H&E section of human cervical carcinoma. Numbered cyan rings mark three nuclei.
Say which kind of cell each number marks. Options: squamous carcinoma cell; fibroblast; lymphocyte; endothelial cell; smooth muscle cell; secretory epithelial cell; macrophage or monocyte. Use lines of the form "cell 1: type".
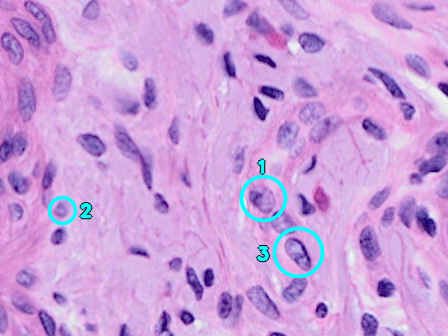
cell 1: endothelial cell
cell 2: smooth muscle cell
cell 3: endothelial cell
